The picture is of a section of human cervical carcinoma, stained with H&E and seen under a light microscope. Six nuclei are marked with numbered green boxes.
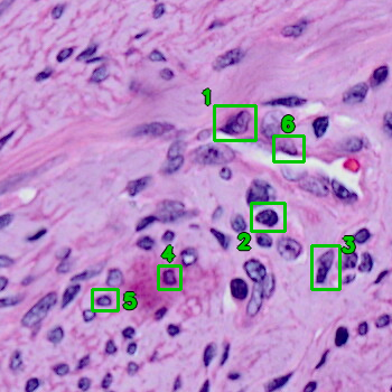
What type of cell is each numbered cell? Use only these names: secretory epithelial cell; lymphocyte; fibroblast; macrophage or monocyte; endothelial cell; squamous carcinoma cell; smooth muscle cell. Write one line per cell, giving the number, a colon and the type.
1: endothelial cell
2: lymphocyte
3: fibroblast
4: smooth muscle cell
5: smooth muscle cell
6: endothelial cell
